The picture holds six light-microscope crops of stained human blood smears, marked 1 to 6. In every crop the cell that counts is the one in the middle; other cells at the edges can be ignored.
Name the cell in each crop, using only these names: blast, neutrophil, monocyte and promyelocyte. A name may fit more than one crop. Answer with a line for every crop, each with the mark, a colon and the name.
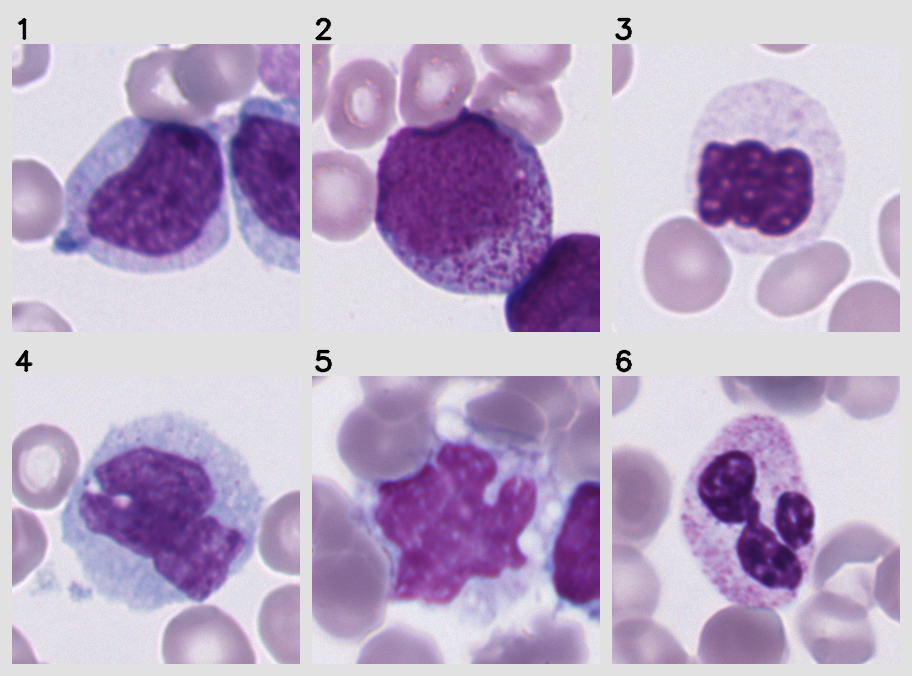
1: promyelocyte
2: promyelocyte
3: neutrophil
4: monocyte
5: monocyte
6: neutrophil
